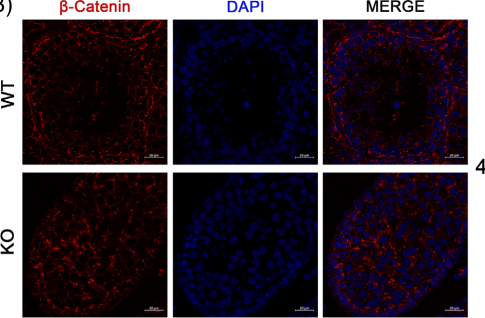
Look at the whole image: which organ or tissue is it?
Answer: Testes.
